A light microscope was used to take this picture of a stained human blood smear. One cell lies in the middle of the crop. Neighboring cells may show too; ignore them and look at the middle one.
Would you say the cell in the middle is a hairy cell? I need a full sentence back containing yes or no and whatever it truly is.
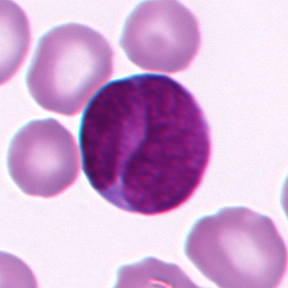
No, it is not a hairy cell that sits at the centre but a myeloblast.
